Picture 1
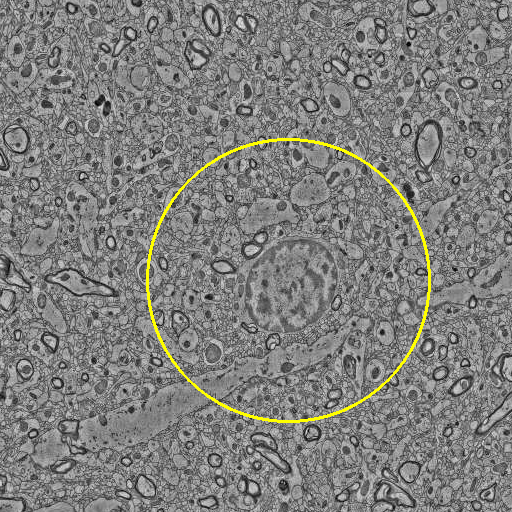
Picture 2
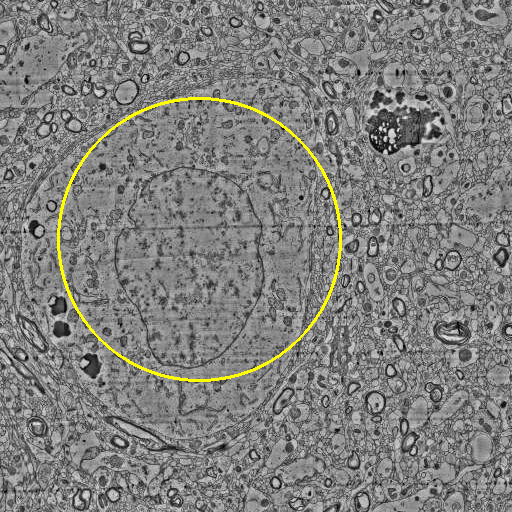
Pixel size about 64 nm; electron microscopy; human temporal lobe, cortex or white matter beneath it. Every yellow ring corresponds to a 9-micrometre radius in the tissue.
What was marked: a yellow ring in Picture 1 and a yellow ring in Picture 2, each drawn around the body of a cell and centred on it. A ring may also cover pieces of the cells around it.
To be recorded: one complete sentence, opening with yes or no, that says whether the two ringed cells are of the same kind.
No, the two ringed cells are of two kinds.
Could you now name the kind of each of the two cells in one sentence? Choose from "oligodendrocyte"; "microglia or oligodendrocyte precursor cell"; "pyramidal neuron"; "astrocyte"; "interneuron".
The first ring encloses an oligodendrocyte; the second ring encloses a pyramidal neuron.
